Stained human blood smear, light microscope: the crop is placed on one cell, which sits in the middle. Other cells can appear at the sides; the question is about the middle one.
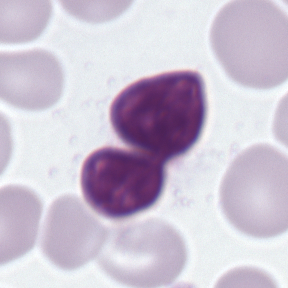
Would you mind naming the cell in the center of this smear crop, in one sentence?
Seen at the centre of the crop is a smudge cell.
